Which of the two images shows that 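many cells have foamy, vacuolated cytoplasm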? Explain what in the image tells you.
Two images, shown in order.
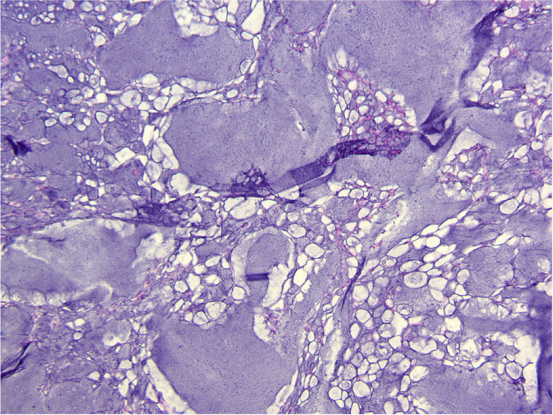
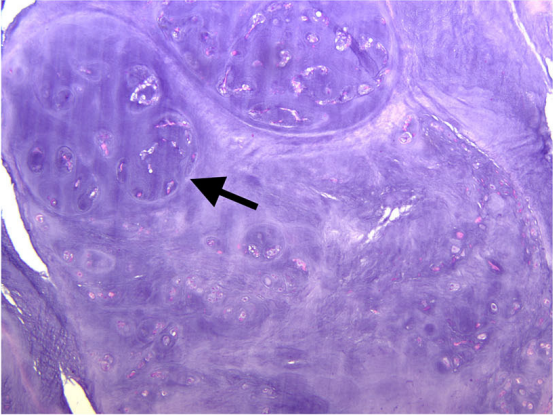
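Second image: round cells in lacunae within dense purple matrix, no foamy cells. First image: abundant cells with clear bubbly vacuolated cytoplasm.
Answer: the first image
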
